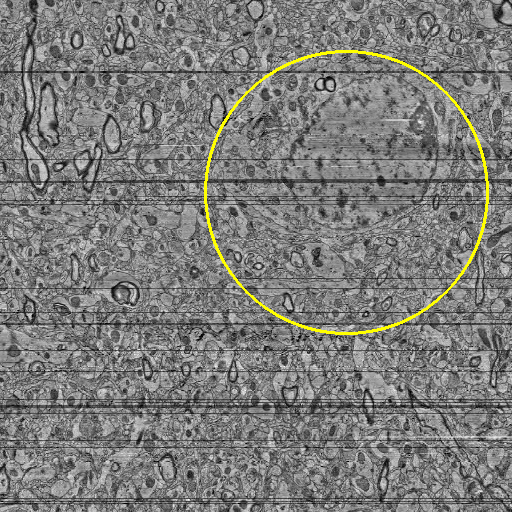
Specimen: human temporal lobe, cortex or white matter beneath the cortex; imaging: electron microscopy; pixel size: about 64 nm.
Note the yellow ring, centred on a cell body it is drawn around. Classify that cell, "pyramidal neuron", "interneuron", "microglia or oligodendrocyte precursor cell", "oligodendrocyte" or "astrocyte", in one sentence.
The cell the ring is centred on is an interneuron.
